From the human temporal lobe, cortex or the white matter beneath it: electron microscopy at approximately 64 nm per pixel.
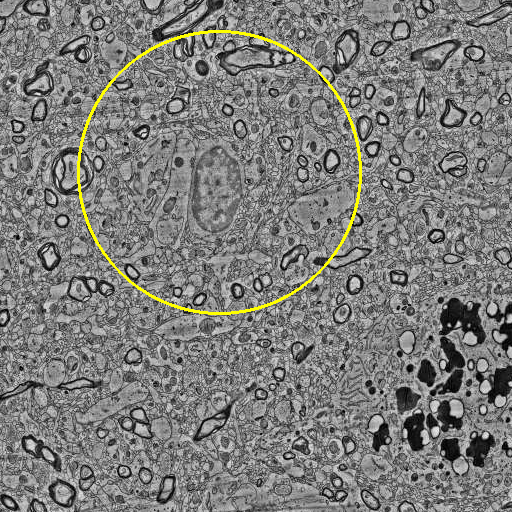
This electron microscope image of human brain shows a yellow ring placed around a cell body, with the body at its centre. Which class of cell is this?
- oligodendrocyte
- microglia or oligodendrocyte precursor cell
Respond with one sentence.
The cell body at the ring's centre is an oligodendrocyte.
